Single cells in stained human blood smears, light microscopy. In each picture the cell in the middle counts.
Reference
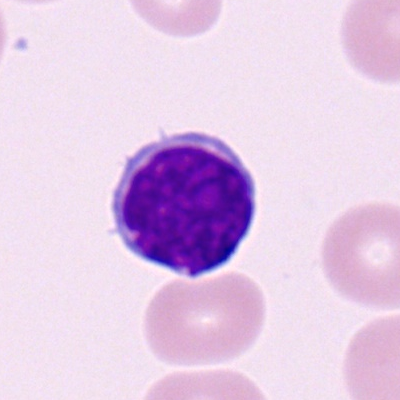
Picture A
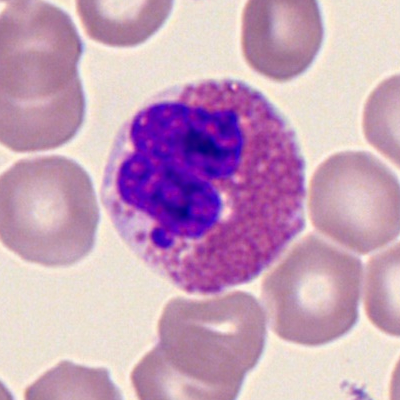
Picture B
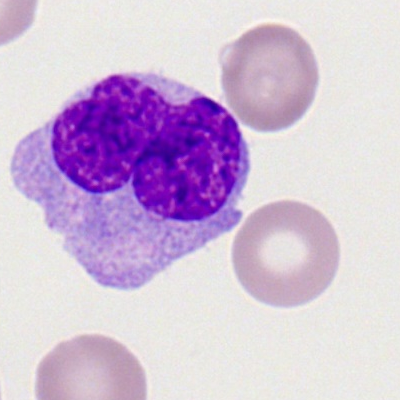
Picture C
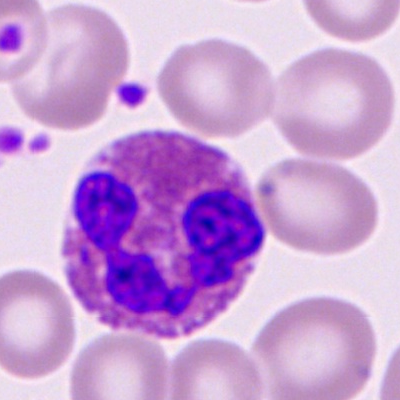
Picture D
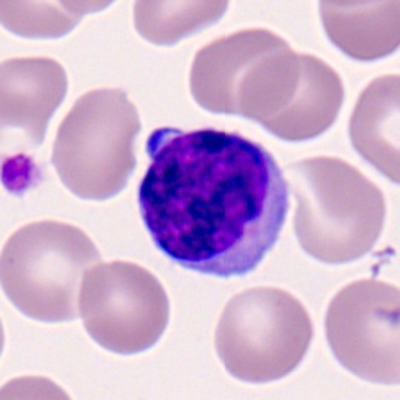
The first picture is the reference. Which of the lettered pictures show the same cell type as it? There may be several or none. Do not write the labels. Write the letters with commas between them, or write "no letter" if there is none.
D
